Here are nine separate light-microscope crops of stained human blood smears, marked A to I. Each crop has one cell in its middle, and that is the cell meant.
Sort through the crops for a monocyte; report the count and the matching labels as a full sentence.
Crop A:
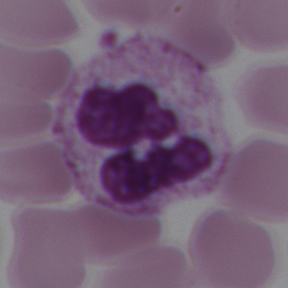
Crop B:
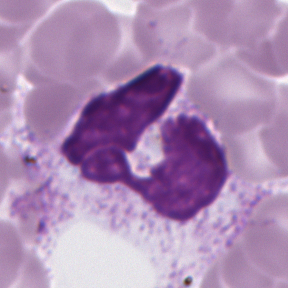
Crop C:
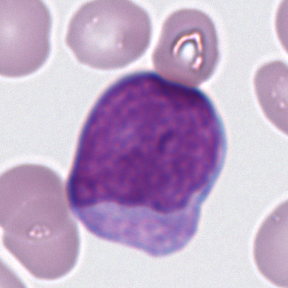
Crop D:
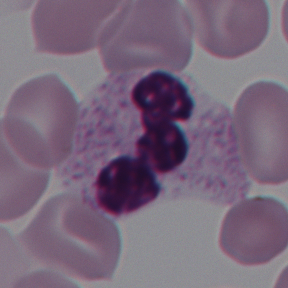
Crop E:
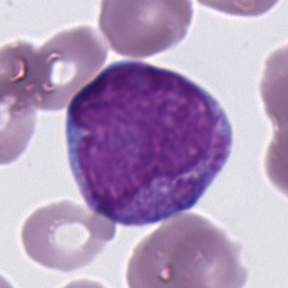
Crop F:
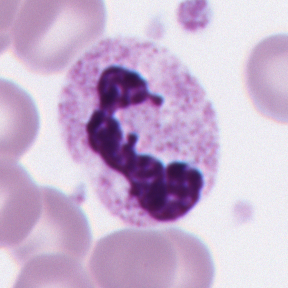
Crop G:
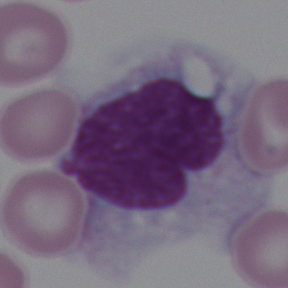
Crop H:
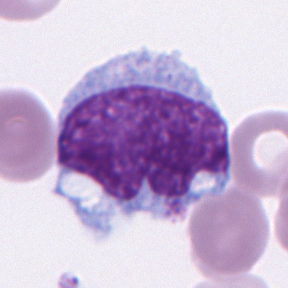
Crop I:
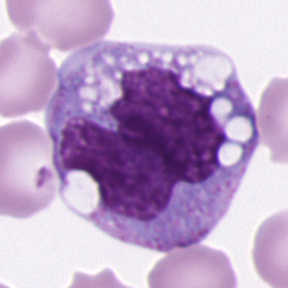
Depicted in three crops, namely G, H and I, are monocytes.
